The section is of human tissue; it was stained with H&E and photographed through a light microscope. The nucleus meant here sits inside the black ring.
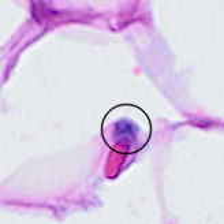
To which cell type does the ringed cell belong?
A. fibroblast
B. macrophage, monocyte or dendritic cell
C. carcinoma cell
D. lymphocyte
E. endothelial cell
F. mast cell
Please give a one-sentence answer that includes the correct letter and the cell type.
Option E is right in classifying the ringed cell as an endothelial cell.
